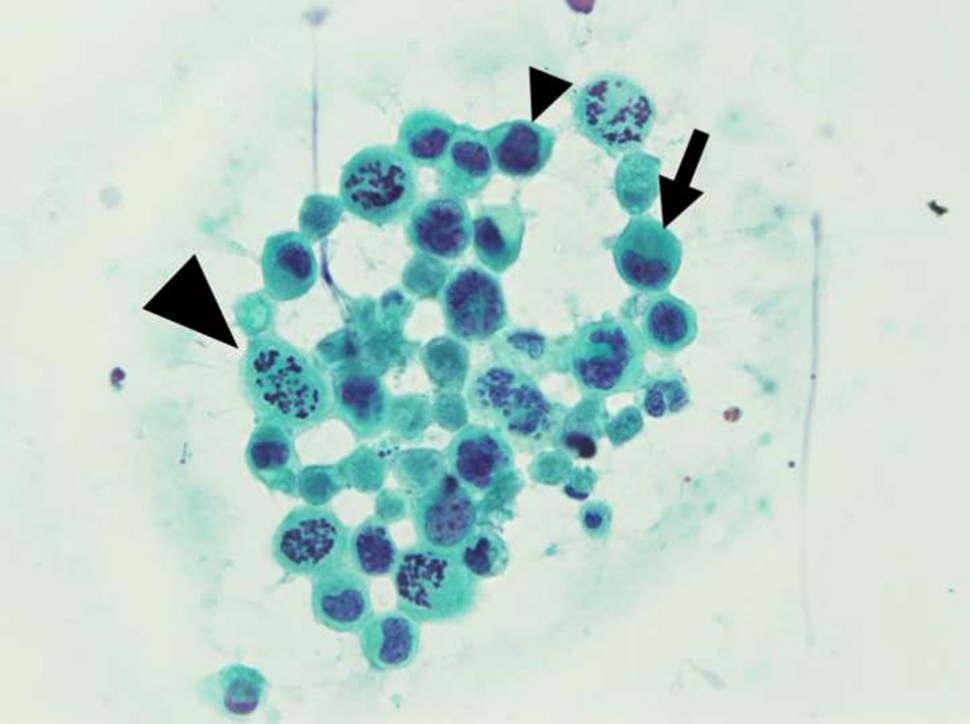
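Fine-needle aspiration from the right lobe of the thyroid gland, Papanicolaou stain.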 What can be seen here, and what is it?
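A loose cluster of discohesive atypical tumour cells lies on a pale background, the cells round with blue-green cytoplasm and dark purple nuclei. The nuclei are irregular, hyperchromatic and vary in size; some cells have a nucleus pushed to one side of a round cell, while others have a nucleus that fills most of the cell with scant cytoplasm. Several cells show coarse, scattered clumps of dark chromatin typical of mitotic figures. The cells lie separately or loosely touching rather than forming cohesive sheets or follicles.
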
